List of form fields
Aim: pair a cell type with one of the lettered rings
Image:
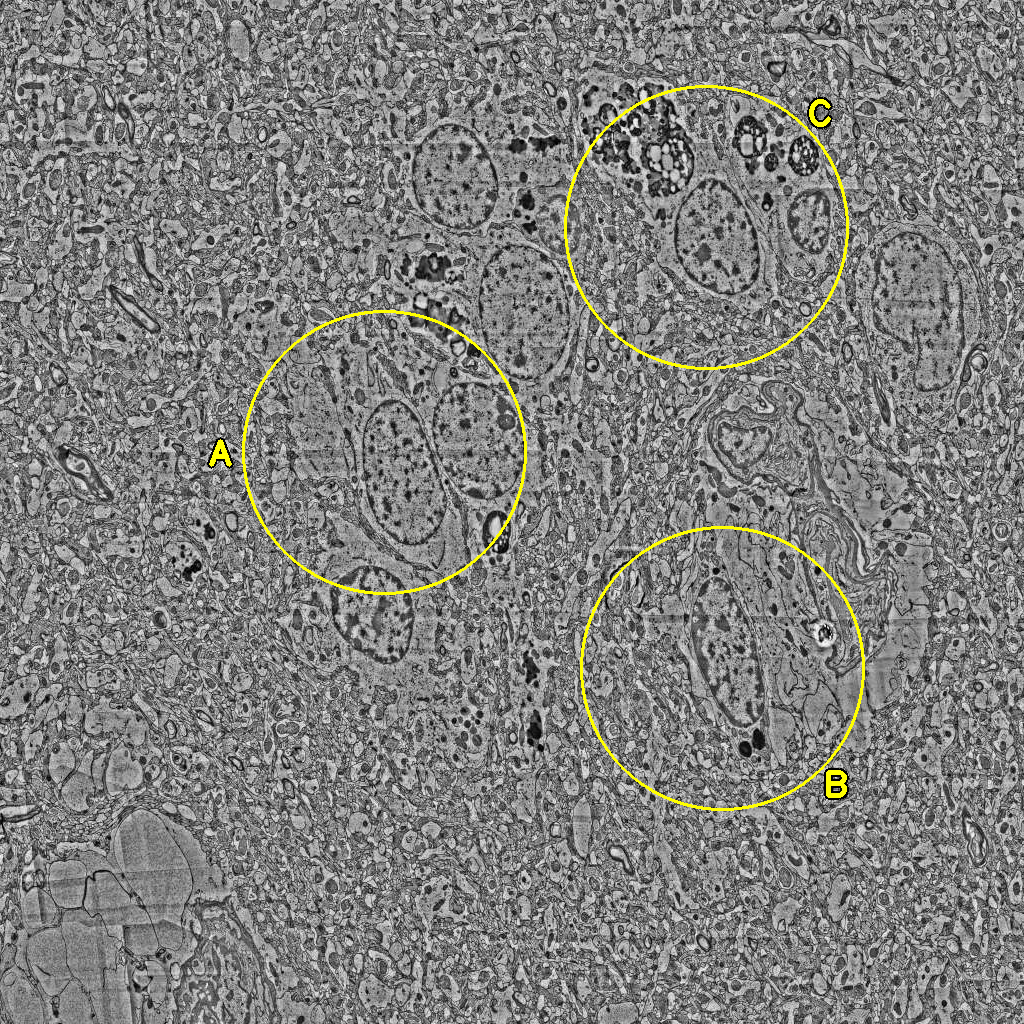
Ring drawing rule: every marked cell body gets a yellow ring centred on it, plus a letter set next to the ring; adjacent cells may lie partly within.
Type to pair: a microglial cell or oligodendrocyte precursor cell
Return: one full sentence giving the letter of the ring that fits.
Ring B is the one whose central cell body is that kind of cell.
